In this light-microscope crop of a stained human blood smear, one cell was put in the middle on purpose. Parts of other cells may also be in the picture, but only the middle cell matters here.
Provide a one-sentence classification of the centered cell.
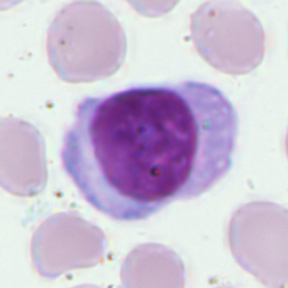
The cell under consideration, at the middle of the crop, is a plasma cell.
